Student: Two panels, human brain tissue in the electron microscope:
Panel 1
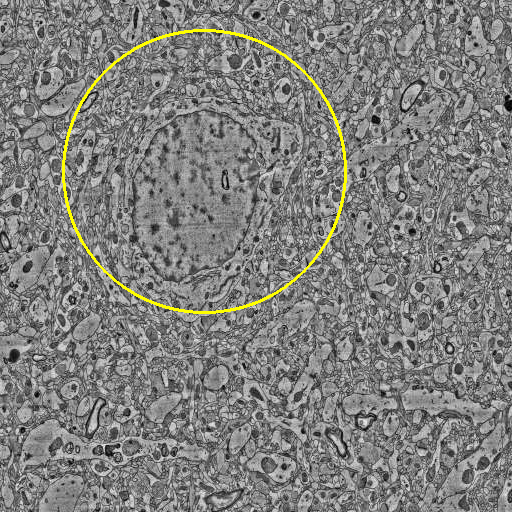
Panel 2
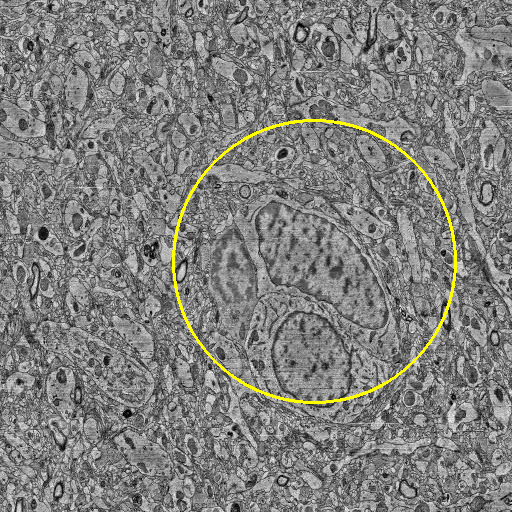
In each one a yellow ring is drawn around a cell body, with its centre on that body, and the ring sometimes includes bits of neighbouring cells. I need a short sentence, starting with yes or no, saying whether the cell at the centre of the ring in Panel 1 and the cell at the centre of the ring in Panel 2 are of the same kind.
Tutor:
No, they are two kinds of cell.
